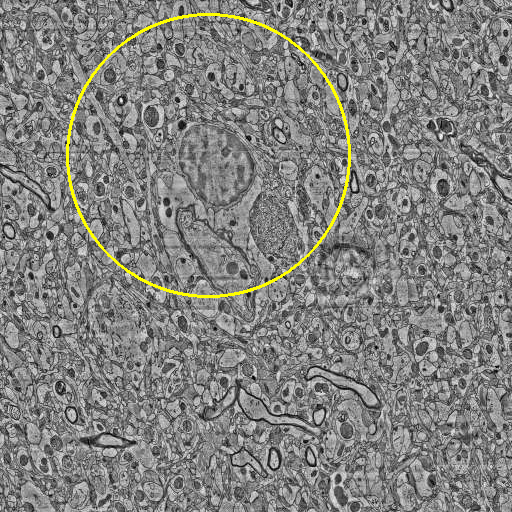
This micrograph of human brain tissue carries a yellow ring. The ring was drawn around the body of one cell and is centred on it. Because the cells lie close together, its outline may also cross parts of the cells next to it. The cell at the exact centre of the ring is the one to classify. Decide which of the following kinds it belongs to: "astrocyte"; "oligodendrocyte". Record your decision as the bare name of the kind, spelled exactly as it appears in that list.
oligodendrocyte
